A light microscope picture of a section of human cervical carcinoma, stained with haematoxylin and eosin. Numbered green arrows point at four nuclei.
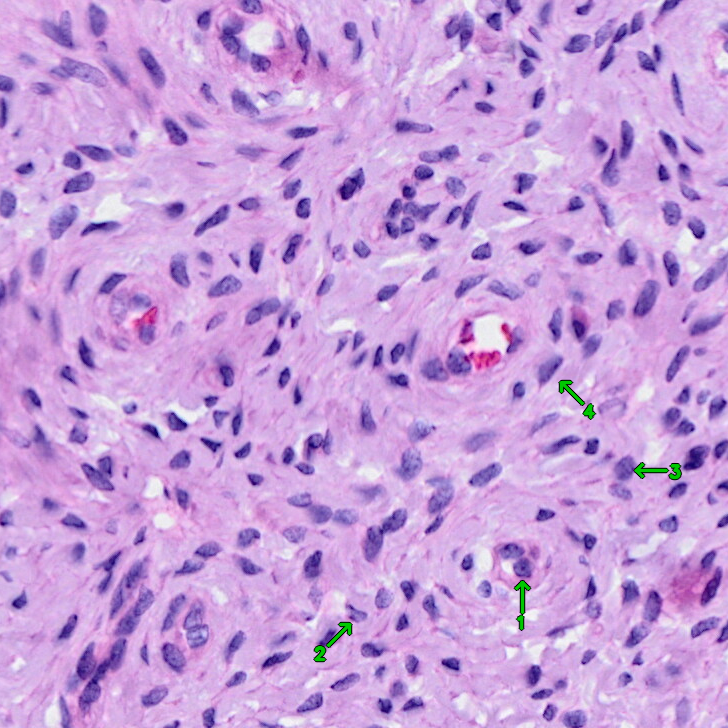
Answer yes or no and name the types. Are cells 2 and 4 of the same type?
Yes, cells 2 and 4 are two fibroblasts.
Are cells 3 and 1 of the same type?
No, the cell numbered 3 is a fibroblast, and the cell numbered 1 is an endothelial cell.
